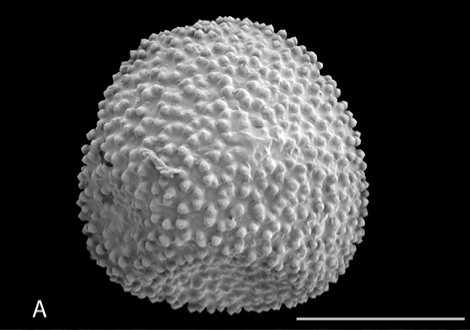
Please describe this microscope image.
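This is a whole pollen grain seen by scanning electron microscopy, lying against a dark background. The grain is roughly spherical, slightly flattened toward the bottom of the field. Its entire outer wall is studded with many small, rounded projections of fairly even size. A fine thread of debris lies across the upper left of the surface.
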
